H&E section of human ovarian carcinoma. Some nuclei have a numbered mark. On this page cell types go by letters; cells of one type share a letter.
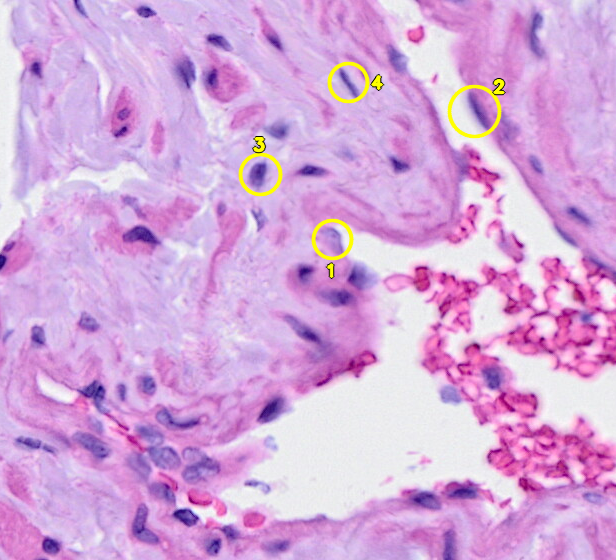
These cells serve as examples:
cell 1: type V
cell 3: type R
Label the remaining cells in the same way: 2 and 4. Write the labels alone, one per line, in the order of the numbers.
type V
type R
